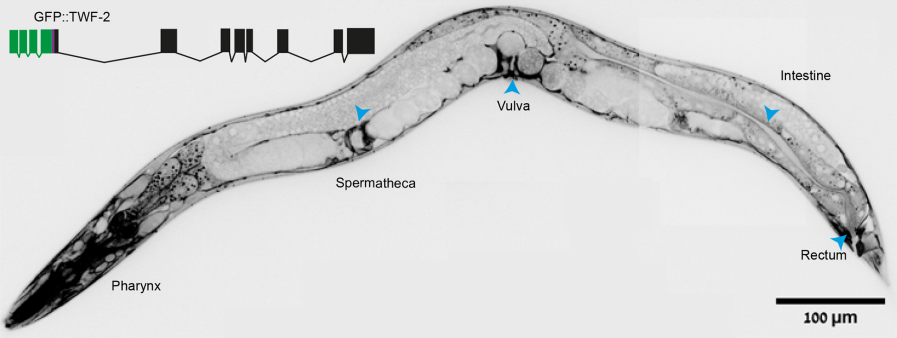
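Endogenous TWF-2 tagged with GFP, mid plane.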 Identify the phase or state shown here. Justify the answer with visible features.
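Adult hermaphrodites. The whole worm shows a long body with a pharynx at the head end and a tail at the other. Rounded embryo-like bodies lie in the body cavity near the middle of the worm. A vulva opens on the ventral side at mid-body.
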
